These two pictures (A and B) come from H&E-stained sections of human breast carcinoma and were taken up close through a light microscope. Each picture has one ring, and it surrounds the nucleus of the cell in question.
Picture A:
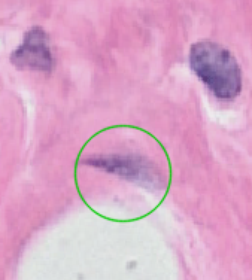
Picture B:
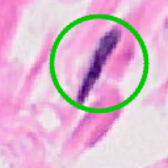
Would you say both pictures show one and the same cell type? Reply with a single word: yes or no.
yes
